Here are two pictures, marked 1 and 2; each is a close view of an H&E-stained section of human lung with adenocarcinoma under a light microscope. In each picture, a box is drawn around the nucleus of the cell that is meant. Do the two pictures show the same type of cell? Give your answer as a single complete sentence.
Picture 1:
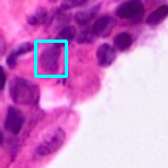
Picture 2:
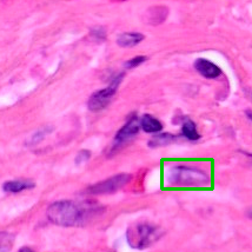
No, picture 1 shows a ciliated epithelial cell and picture 2 shows an endothelial cell.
